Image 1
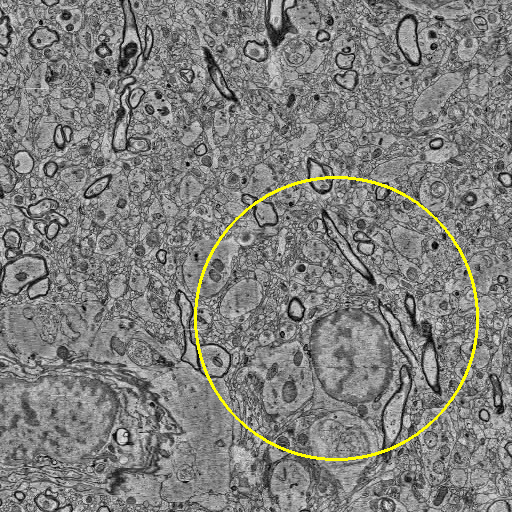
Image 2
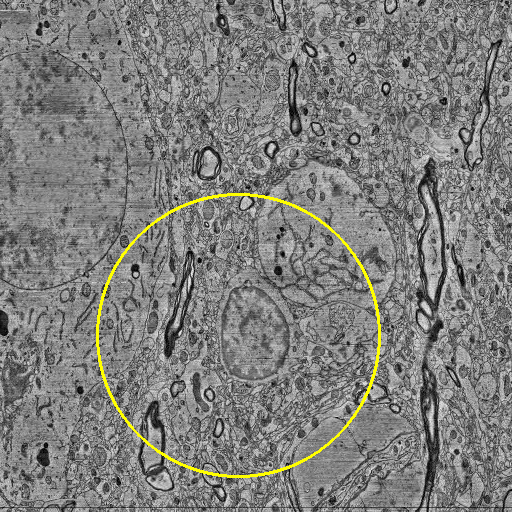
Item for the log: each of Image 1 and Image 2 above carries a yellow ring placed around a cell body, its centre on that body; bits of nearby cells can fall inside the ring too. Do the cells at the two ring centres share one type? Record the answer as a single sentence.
Yes, the two cells at the ring centres in Image 1 and Image 2 share one type.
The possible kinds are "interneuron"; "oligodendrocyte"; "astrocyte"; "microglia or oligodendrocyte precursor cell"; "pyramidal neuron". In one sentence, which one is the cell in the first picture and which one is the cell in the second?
Each one of the two ringed cells is an oligodendrocyte.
